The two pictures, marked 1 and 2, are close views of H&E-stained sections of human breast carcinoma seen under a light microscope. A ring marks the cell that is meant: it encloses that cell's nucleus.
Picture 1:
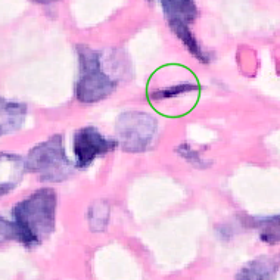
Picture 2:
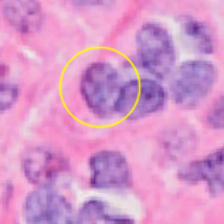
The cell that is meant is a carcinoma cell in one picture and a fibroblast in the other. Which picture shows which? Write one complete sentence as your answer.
Picture 2 shows a carcinoma cell, while picture 1 shows a fibroblast.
